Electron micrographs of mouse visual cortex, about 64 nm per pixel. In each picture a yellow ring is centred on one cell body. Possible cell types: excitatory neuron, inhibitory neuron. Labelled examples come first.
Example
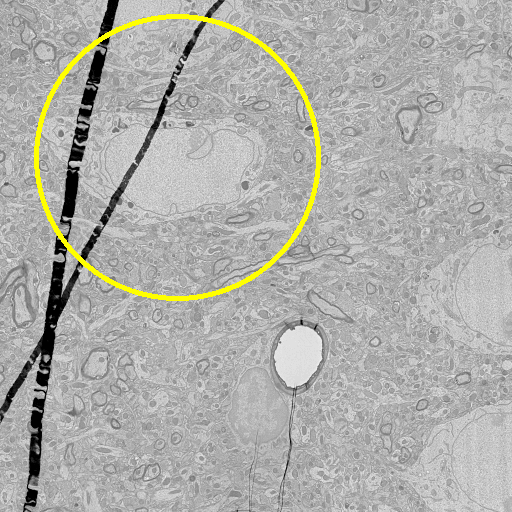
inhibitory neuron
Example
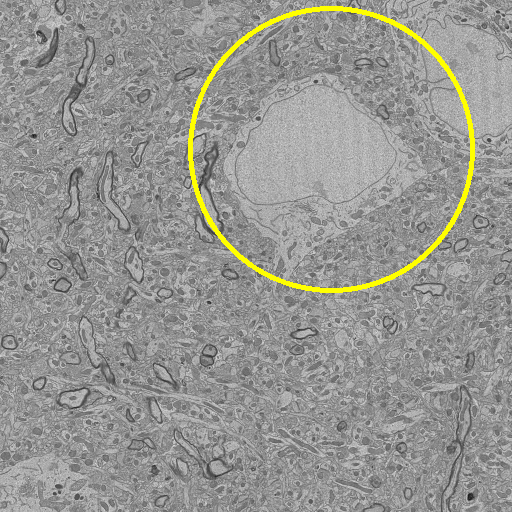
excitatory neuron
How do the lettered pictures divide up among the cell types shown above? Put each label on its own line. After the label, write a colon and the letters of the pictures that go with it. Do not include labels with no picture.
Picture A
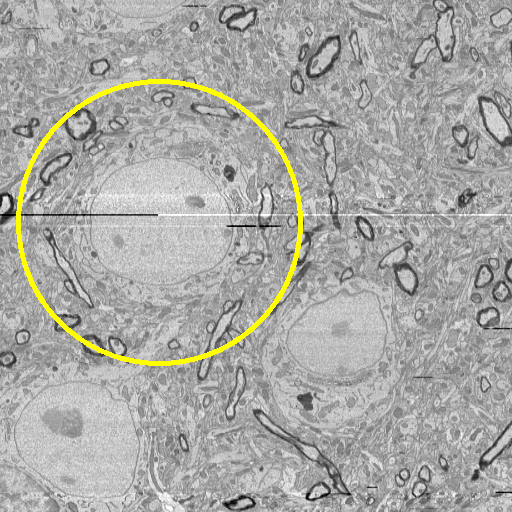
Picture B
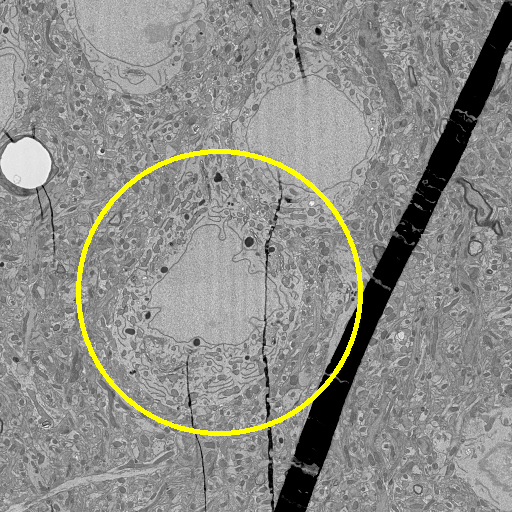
excitatory neuron: A
inhibitory neuron: B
